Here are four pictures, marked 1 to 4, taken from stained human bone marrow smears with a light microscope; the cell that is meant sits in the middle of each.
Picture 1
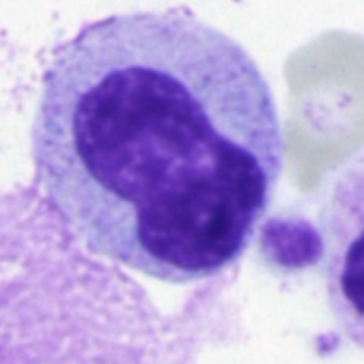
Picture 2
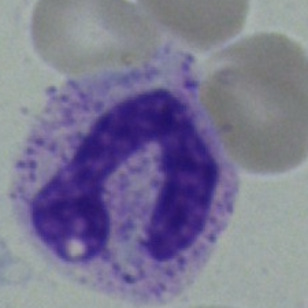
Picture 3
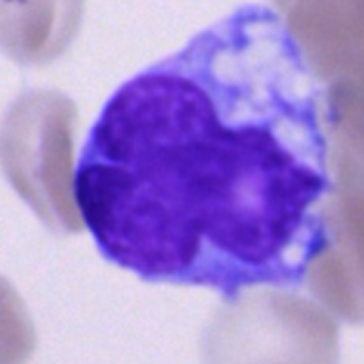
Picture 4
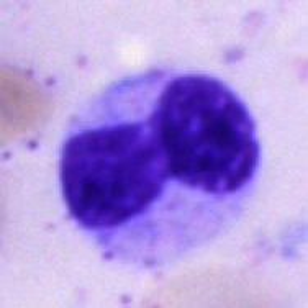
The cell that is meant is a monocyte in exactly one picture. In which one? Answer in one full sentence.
The monocyte is the one in picture 3.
